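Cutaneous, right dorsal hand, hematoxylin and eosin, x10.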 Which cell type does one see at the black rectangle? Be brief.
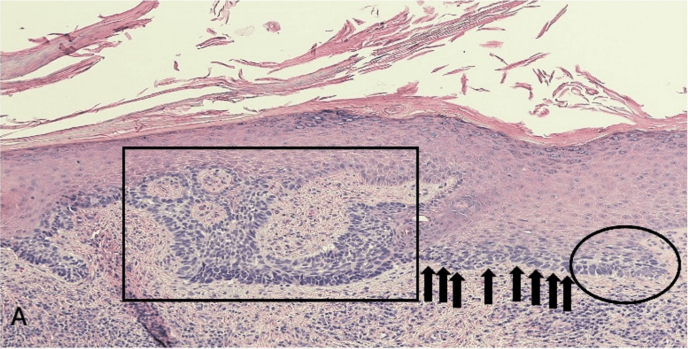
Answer: Basaloid tumor cells.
